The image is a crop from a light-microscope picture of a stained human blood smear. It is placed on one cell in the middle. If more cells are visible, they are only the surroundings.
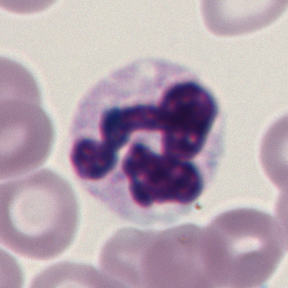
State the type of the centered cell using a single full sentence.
Here the cell in the middle is a neutrophil.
